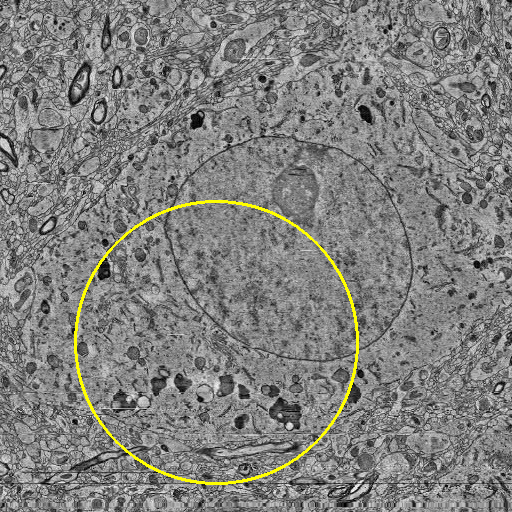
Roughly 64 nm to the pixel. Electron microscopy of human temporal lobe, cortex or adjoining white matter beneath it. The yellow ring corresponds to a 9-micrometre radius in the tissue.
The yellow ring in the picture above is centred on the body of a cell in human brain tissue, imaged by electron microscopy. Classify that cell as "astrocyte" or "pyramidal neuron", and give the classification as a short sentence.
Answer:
The cell in the middle of the ring is a pyramidal neuron.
